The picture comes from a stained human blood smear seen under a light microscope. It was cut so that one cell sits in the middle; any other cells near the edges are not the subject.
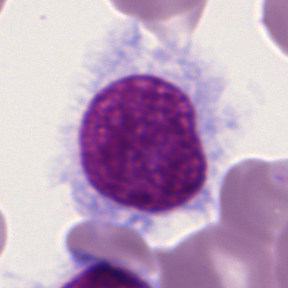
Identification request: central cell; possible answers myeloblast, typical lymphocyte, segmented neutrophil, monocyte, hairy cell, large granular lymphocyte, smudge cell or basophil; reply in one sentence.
At the crop's centre, the cell is a hairy cell.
